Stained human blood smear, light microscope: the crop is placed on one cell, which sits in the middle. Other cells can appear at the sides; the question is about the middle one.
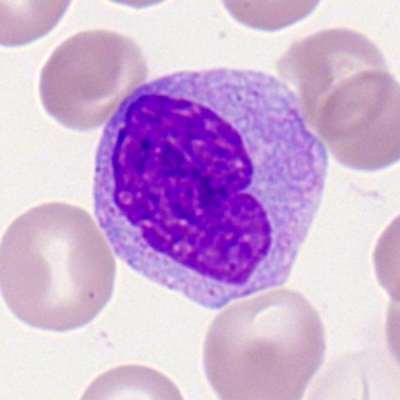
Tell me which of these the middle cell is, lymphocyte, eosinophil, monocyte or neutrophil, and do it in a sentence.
The single cell at the center of the crop is a monocyte.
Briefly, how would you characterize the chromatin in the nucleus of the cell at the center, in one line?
Coarse clumps are absent, and the chromatin is fine throughout.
